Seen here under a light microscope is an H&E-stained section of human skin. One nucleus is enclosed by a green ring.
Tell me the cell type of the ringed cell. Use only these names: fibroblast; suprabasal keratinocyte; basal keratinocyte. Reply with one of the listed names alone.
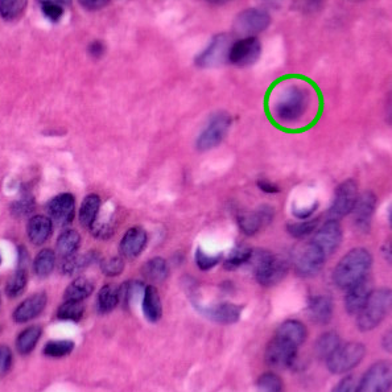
fibroblast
